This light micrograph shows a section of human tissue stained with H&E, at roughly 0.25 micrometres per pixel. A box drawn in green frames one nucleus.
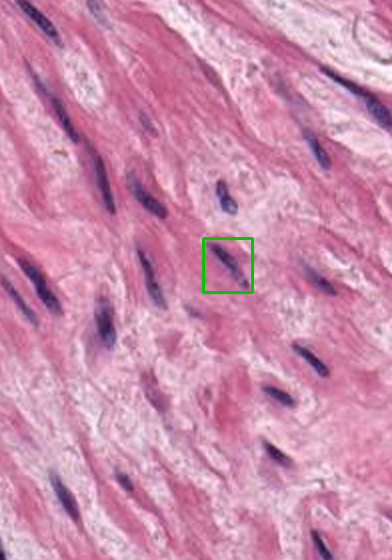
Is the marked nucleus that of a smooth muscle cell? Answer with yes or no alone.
yes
